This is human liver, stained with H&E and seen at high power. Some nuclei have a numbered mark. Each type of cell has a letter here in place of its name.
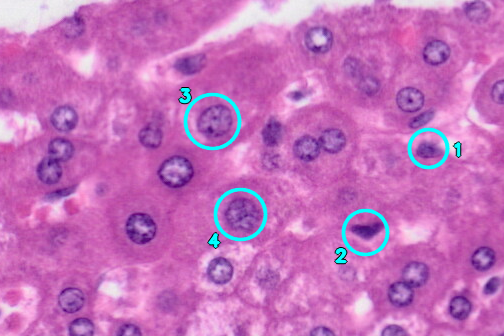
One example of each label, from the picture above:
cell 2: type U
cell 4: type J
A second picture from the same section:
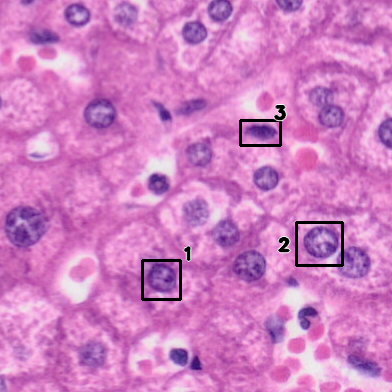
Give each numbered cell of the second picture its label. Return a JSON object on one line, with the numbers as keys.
{"1": "type J", "2": "type J", "3": "type U"}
